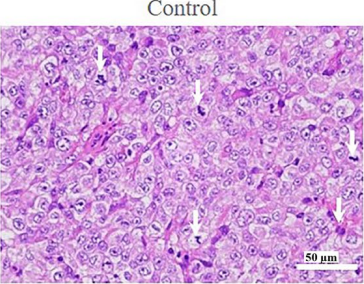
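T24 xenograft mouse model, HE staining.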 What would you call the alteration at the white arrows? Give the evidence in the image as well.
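Nuclei with hyperchromatism and pleomorphism. The arrowed nuclei are stained much darker purple than neighbouring nuclei. The arrowed nuclei are irregular in shape and size.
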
